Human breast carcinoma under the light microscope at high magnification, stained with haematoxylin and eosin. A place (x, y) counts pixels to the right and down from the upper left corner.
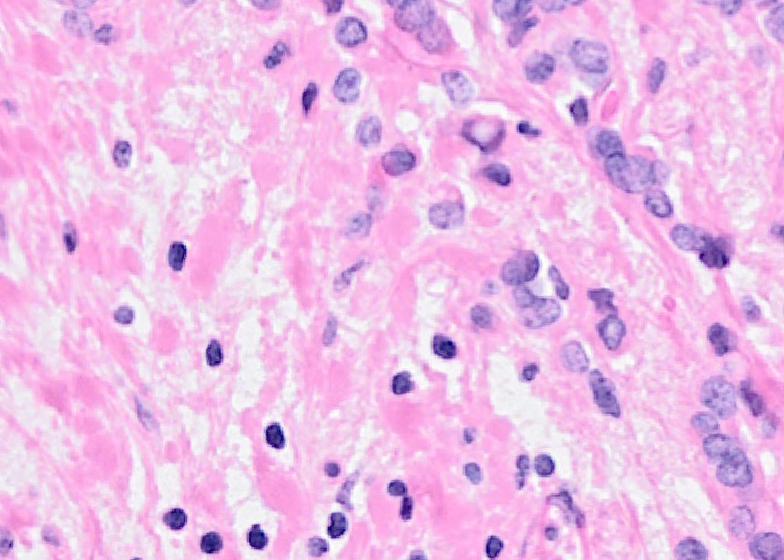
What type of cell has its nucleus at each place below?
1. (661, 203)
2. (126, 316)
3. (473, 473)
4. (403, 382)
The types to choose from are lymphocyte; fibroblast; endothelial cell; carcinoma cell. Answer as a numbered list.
1. carcinoma cell
2. lymphocyte
3. lymphocyte
4. lymphocyte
